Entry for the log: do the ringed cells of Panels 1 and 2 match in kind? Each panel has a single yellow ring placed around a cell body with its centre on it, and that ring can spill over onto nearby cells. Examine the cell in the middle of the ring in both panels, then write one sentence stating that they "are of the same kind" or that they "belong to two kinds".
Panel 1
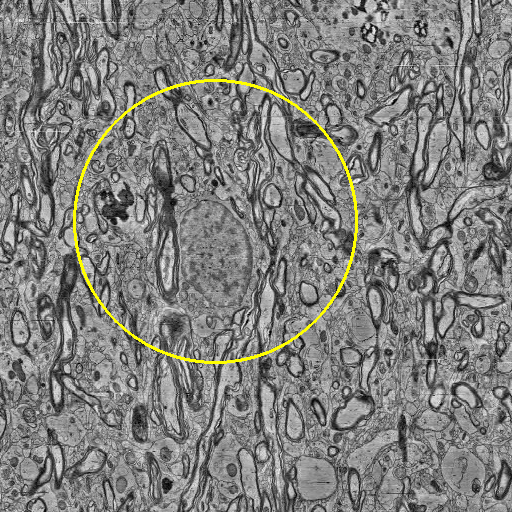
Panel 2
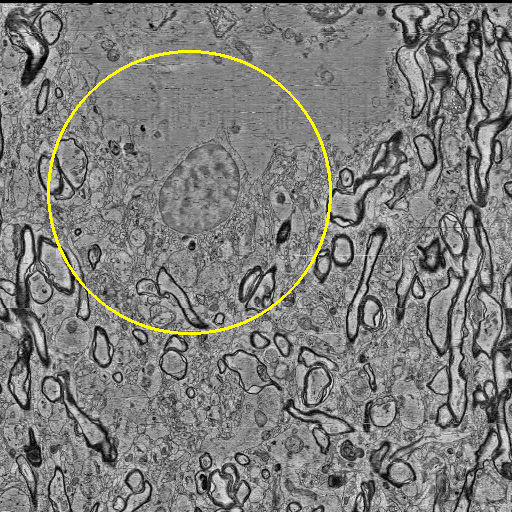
The centre cell of Panel 1's ring and that of Panel 2's ring belong to two kinds.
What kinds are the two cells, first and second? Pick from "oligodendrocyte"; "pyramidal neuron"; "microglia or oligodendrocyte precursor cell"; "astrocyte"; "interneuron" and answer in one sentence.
The second picture holds a microglial cell or oligodendrocyte precursor cell in its ring, and the first holds an oligodendrocyte.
